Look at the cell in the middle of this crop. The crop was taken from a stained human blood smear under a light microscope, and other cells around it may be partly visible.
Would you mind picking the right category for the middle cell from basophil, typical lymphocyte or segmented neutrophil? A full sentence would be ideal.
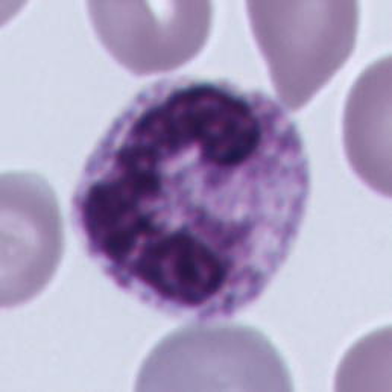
The cell shown in the center of this light-microscope crop is a segmented neutrophil.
